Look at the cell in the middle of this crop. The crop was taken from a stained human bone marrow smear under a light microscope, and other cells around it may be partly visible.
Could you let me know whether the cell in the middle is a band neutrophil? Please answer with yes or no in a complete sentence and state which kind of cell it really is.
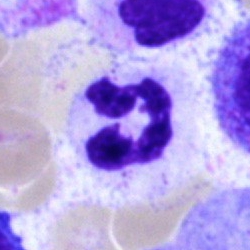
No, the central cell is designated a segmented neutrophil and not a band neutrophil.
